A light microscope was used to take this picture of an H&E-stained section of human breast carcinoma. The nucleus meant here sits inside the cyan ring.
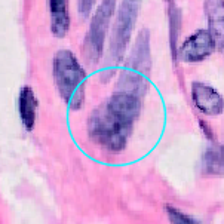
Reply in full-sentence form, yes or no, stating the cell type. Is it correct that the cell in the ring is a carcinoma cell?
No, for the cell in the ring the correct label is an endothelial cell and not a carcinoma cell.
